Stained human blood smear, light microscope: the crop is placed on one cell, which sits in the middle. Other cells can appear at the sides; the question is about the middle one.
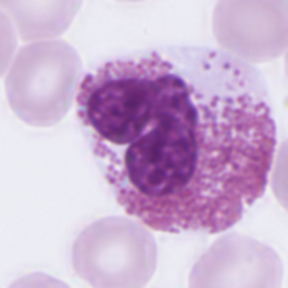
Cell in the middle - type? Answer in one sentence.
Answering briefly, the cell in the middle is an eosinophil.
